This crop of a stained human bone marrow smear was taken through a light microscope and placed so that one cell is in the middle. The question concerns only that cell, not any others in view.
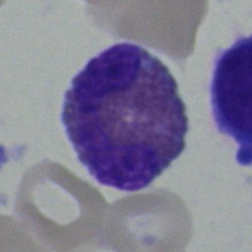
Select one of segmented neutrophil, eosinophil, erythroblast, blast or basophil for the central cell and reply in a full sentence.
The cell at the heart of this crop is an eosinophil.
